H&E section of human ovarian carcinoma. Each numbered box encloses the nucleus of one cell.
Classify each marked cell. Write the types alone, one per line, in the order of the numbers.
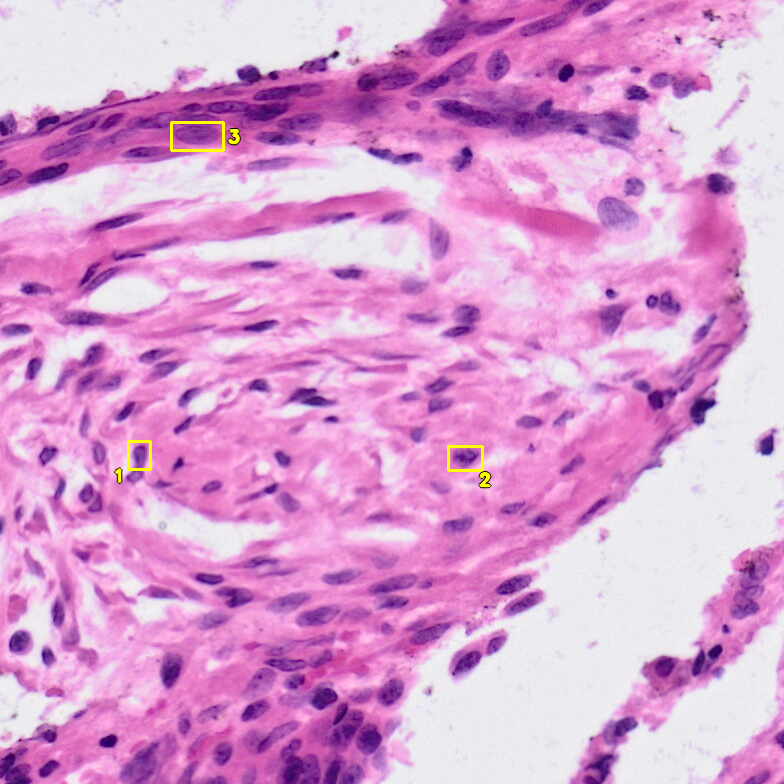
fibroblast
fibroblast
endothelial cell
